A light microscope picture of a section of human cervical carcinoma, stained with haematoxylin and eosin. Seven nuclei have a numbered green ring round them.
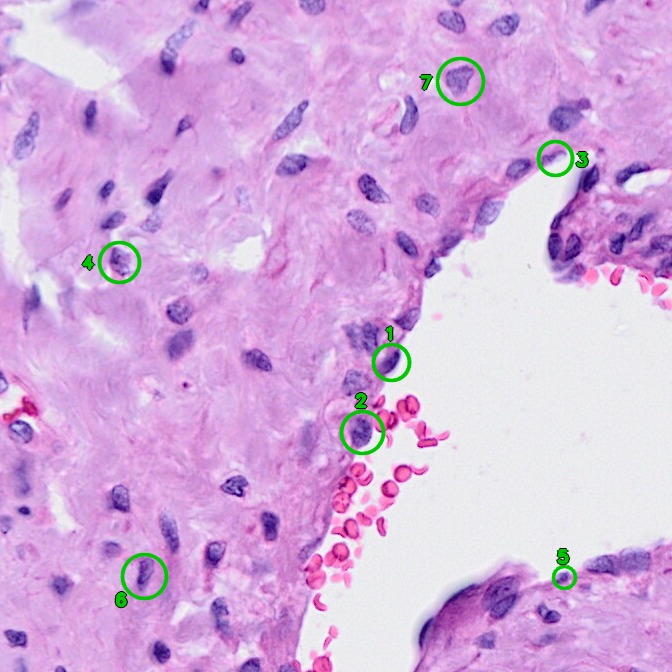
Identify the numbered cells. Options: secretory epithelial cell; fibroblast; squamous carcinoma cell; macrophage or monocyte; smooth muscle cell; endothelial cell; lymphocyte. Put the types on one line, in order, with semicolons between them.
endothelial cell; endothelial cell; endothelial cell; macrophage or monocyte; endothelial cell; fibroblast; fibroblast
